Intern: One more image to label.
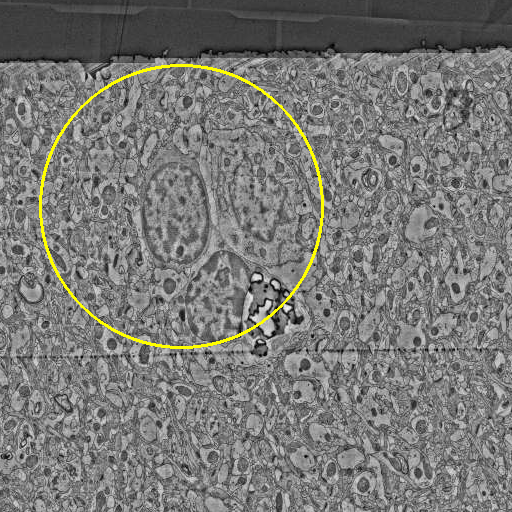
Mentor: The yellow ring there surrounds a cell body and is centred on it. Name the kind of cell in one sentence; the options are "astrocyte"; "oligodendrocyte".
The ring marks the cell body of an oligodendrocyte.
